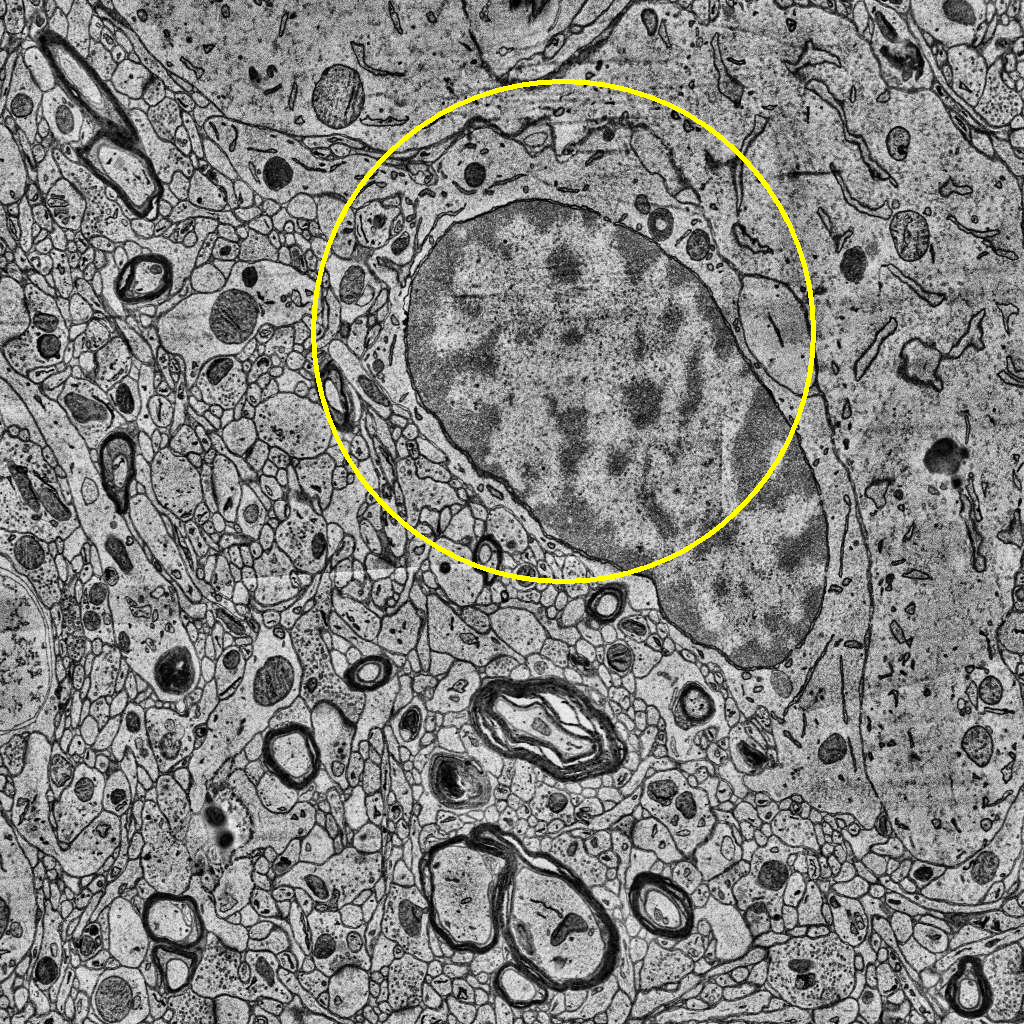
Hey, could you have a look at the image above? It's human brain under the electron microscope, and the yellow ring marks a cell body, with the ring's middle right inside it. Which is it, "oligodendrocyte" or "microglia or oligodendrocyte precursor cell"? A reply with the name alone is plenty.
microglia or oligodendrocyte precursor cell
